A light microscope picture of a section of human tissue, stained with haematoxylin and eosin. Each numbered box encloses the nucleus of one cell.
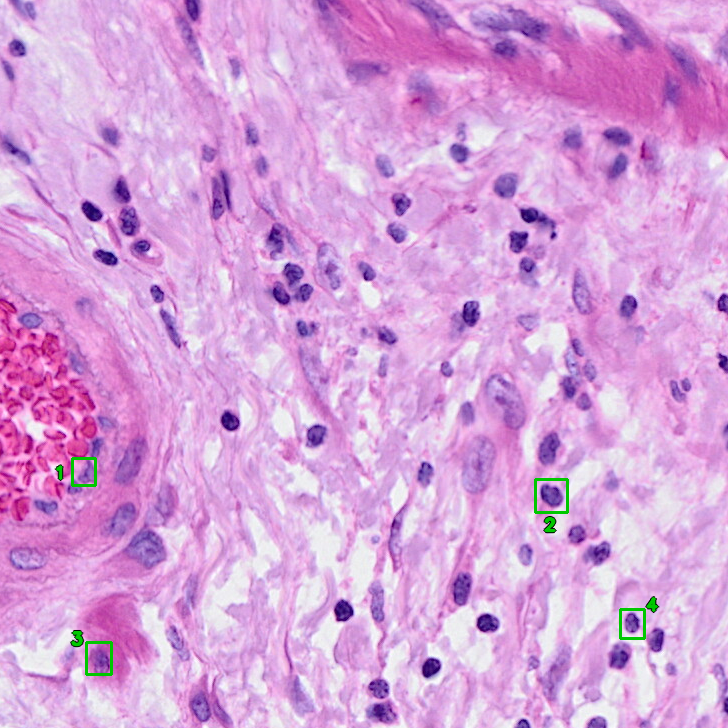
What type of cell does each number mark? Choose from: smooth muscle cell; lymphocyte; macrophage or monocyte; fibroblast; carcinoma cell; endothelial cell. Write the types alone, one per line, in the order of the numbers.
endothelial cell
lymphocyte
smooth muscle cell
lymphocyte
